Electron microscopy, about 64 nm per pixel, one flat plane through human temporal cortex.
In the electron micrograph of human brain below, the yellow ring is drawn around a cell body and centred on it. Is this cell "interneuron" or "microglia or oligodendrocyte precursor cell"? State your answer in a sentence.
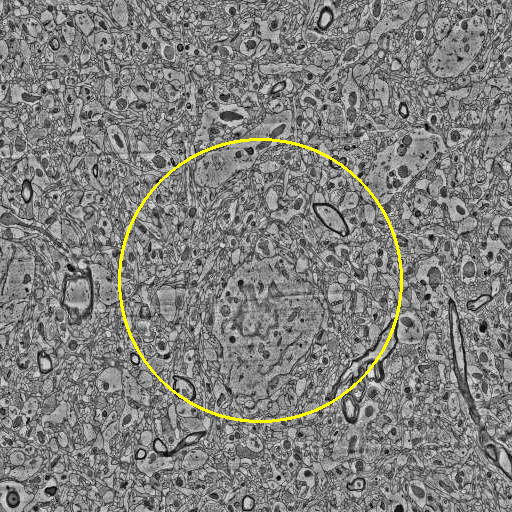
The cell in the middle of the ring is an interneuron.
